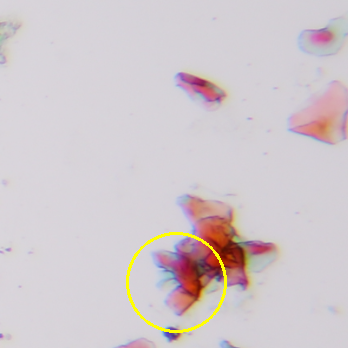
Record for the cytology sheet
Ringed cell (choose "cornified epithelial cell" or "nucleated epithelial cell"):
cornified epithelial cell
